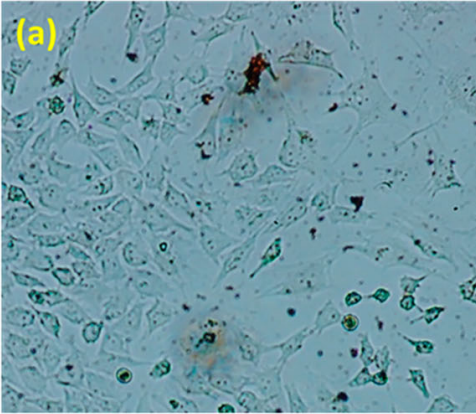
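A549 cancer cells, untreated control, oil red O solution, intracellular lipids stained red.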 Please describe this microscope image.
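The cells form a pale, loose monolayer of flat polygonal and spindle-shaped cells with thin outlines. Some small rounded cells lie scattered among the flat ones.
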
